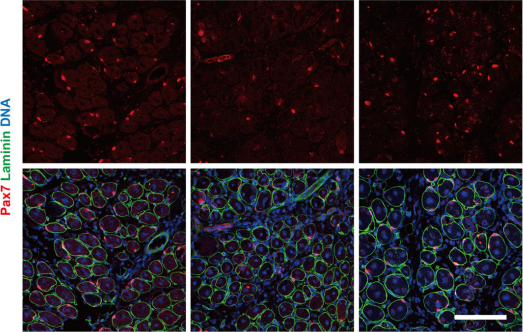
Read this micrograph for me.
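These are cross-sections of skeletal muscle in which each fiber is outlined by a thin green ring, shown above as the red channel alone and below merged. Blue nuclei are scattered between the fibers, and small bright red nuclei lie scattered at the edges of the fibers, close to the green outlines. Some areas have smaller fibers with more blue nuclei crowded between them.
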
